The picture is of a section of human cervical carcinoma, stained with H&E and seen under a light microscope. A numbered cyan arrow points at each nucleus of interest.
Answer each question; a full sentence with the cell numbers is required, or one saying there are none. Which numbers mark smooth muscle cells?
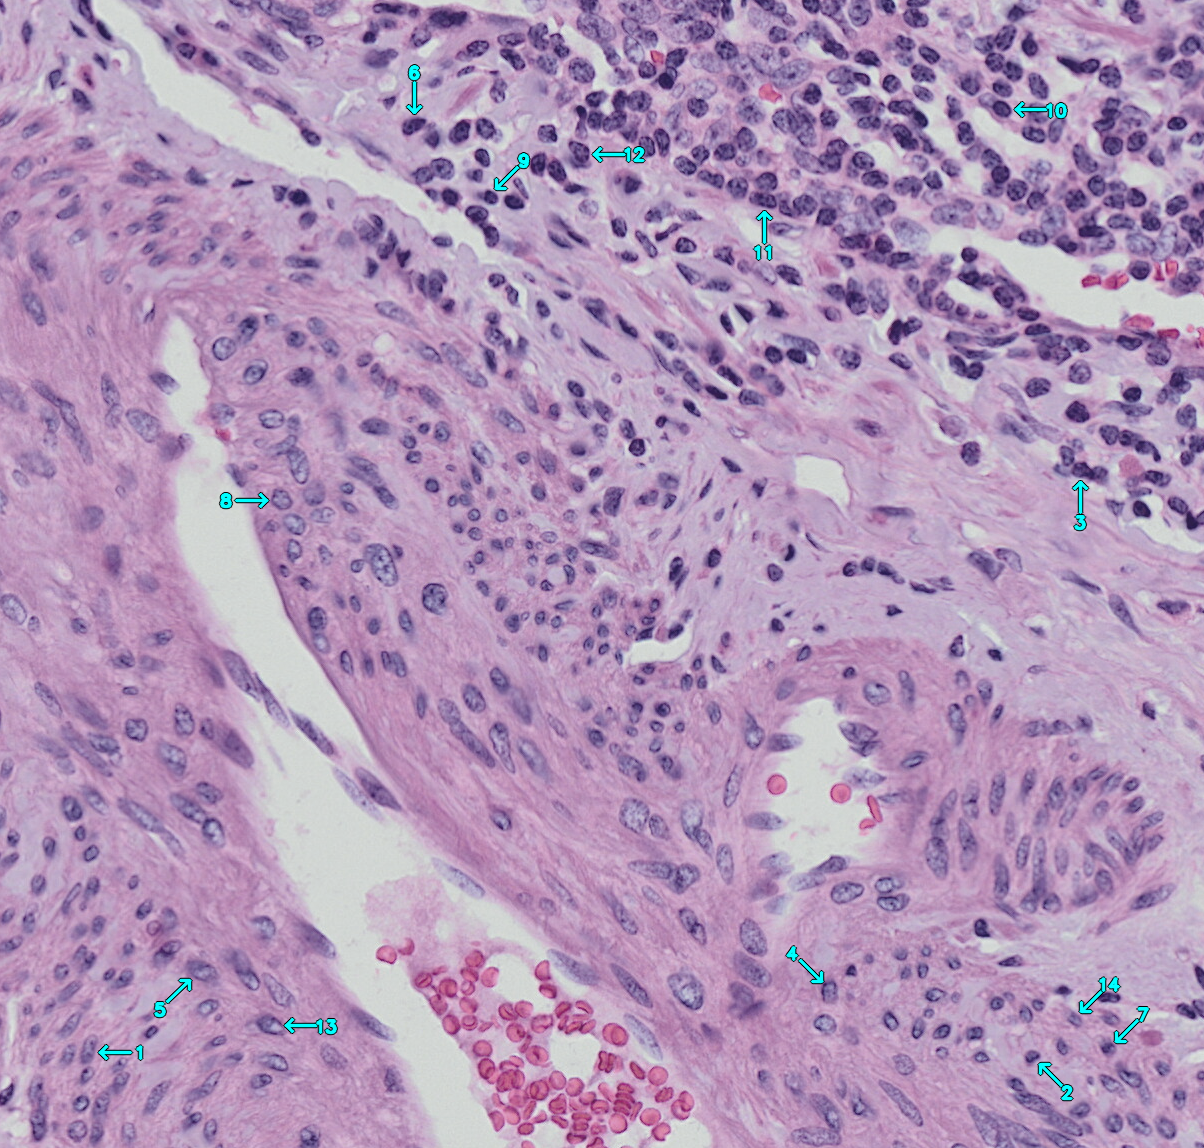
So, the cells with numbers 1, 2, 4, 5, 7, 8, 13 and 14 are smooth muscle cells.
